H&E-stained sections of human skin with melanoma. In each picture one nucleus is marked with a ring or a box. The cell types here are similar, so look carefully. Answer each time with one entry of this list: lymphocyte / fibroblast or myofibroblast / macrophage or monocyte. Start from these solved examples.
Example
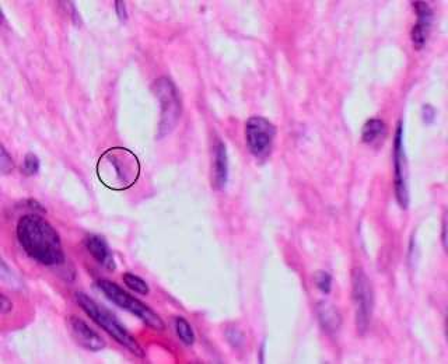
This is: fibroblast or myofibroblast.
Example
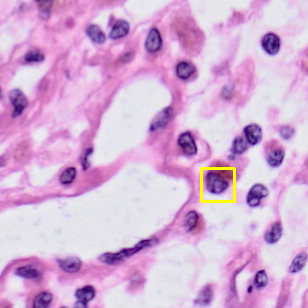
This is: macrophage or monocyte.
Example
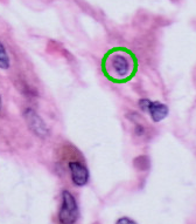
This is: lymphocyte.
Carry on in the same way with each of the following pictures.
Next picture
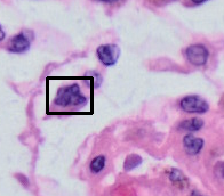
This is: macrophage or monocyte.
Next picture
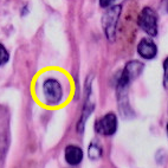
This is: lymphocyte.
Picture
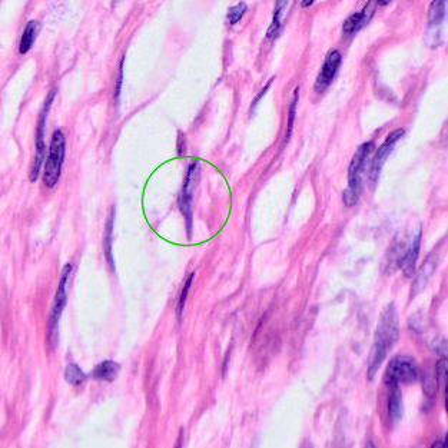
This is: fibroblast or myofibroblast.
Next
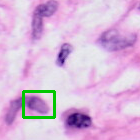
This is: macrophage or monocyte.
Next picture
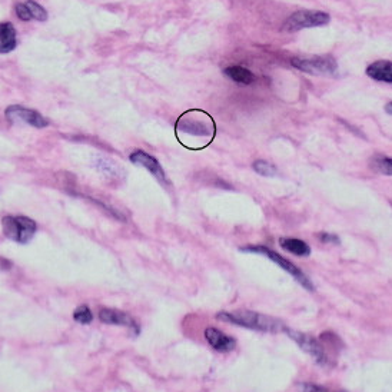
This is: fibroblast or myofibroblast.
